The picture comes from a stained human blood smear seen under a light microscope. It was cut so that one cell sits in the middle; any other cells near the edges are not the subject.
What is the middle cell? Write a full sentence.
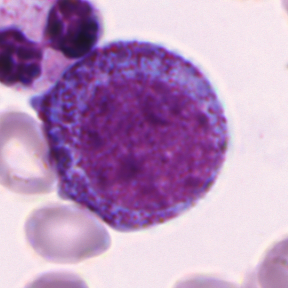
Where the crop is centred, there is a promyelocyte.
